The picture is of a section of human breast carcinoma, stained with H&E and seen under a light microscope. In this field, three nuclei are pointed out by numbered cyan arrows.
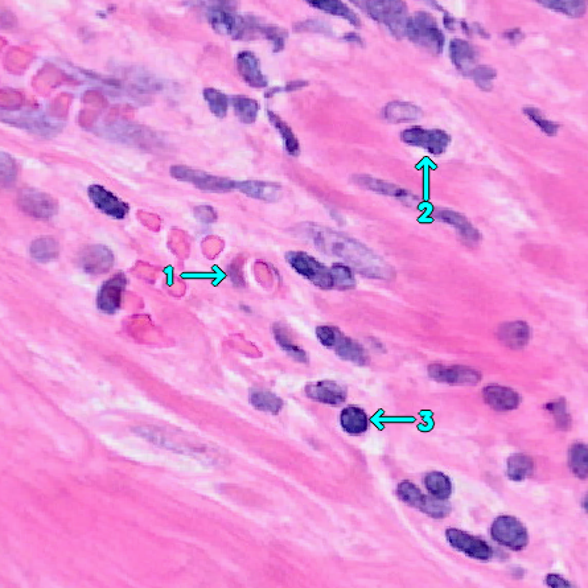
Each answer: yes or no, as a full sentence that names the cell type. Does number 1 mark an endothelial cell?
Yes, it is an endothelial cell that carries the number 1.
